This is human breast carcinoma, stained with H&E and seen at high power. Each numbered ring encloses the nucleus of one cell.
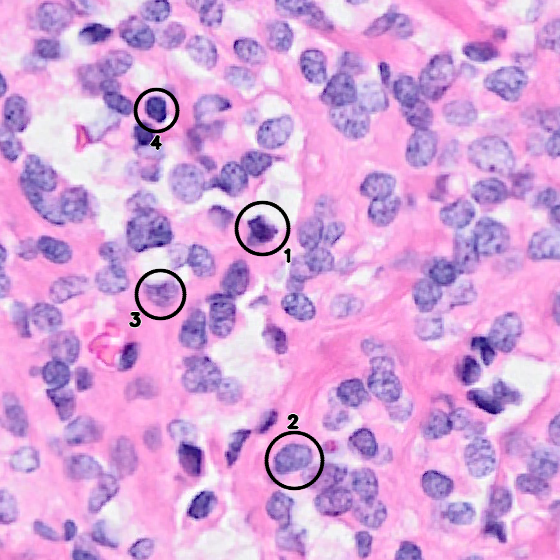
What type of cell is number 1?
carcinoma cell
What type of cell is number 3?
carcinoma cell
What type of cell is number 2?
carcinoma cell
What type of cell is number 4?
lymphocyte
